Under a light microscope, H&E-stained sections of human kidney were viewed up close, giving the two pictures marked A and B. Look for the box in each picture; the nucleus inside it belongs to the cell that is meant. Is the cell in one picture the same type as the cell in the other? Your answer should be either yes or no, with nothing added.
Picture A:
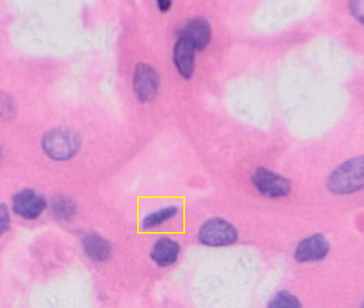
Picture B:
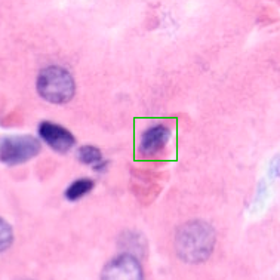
yes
